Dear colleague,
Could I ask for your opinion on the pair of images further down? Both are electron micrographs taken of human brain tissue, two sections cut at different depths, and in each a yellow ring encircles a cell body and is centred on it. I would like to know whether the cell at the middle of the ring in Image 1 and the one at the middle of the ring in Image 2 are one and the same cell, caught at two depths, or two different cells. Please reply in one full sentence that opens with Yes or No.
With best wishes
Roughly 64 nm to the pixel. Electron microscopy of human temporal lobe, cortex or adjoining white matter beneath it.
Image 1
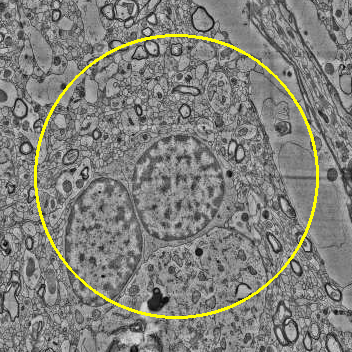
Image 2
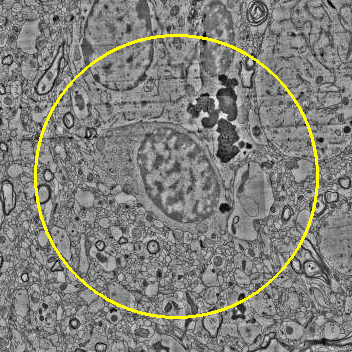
No, the rings surround different cells rather than one cell.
